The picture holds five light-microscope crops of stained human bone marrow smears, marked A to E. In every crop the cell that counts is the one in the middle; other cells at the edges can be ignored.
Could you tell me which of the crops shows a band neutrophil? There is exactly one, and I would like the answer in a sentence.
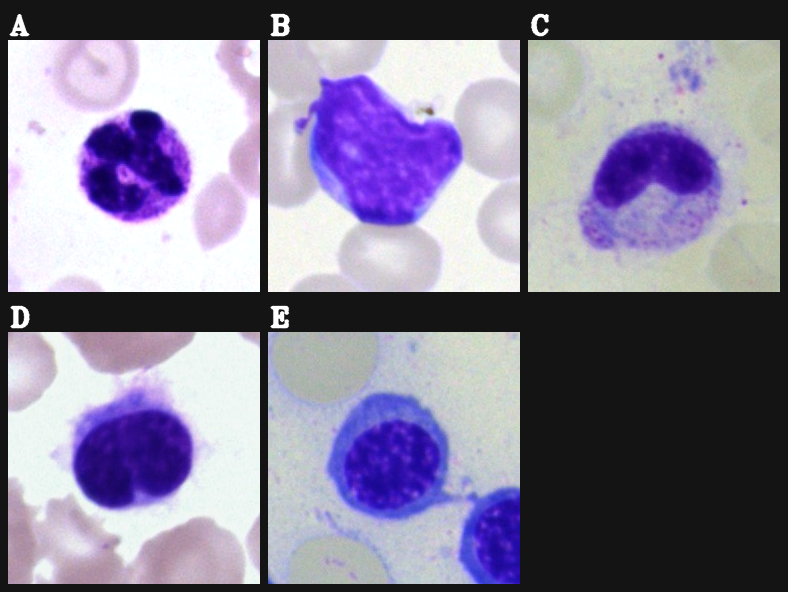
Crop C is the right one; it is the crop showing a band neutrophil.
